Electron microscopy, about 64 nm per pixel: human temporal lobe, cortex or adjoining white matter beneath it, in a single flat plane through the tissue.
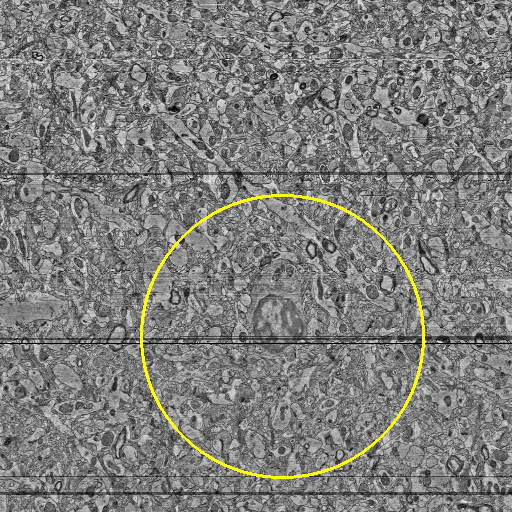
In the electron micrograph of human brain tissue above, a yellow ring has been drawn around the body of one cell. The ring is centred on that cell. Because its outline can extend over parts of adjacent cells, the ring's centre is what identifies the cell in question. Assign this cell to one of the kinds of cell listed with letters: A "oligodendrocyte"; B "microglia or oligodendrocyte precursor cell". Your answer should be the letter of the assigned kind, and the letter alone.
A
